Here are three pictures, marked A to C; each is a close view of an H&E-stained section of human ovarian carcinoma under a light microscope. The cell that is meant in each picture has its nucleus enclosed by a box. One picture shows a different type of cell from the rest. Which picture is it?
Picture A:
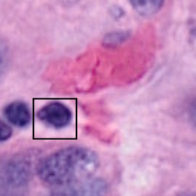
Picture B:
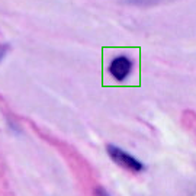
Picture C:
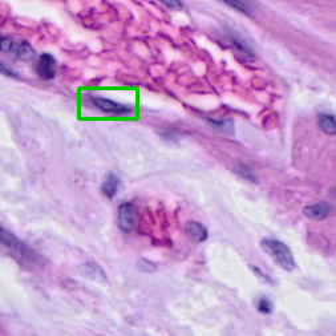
C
